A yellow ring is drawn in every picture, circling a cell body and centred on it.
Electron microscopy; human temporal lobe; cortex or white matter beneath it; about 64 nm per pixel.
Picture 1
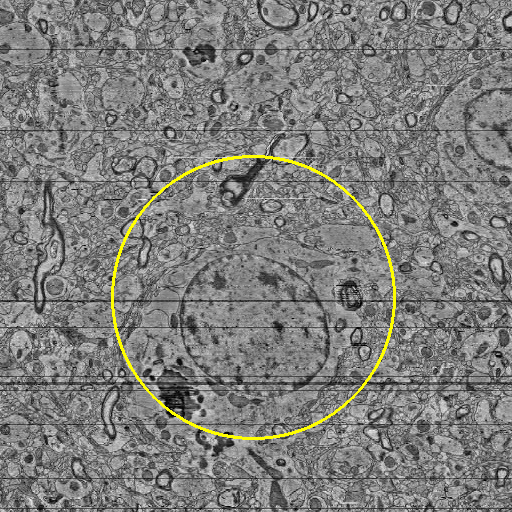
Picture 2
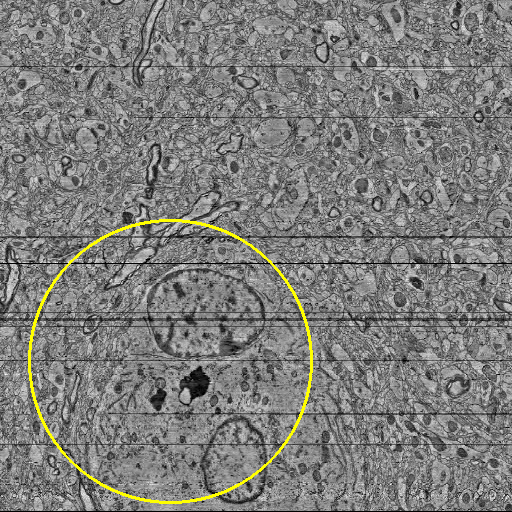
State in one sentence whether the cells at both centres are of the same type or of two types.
The cells at the two ring centres, one per picture, are of two types.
